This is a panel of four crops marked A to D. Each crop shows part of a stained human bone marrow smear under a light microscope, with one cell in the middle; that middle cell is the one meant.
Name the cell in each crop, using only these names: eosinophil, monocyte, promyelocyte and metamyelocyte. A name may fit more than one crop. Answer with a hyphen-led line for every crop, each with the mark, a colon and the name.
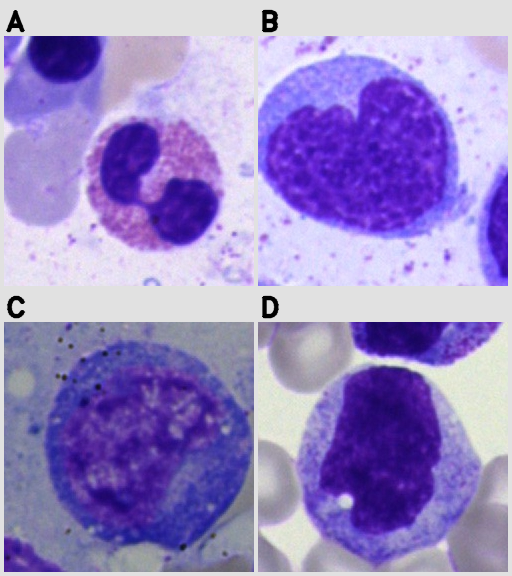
- A: eosinophil
- B: monocyte
- C: promyelocyte
- D: monocyte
